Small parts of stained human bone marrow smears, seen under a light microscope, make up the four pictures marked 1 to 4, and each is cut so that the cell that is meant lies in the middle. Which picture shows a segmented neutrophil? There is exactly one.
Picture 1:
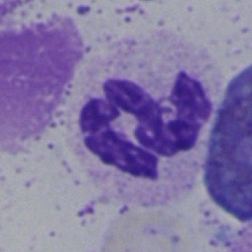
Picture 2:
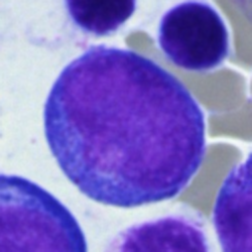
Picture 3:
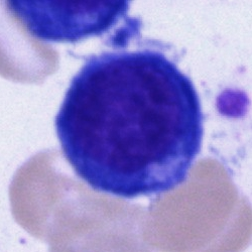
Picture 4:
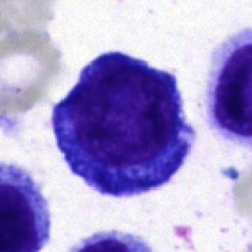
1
